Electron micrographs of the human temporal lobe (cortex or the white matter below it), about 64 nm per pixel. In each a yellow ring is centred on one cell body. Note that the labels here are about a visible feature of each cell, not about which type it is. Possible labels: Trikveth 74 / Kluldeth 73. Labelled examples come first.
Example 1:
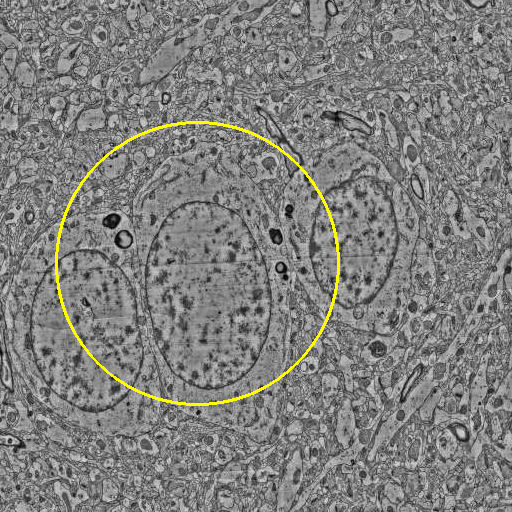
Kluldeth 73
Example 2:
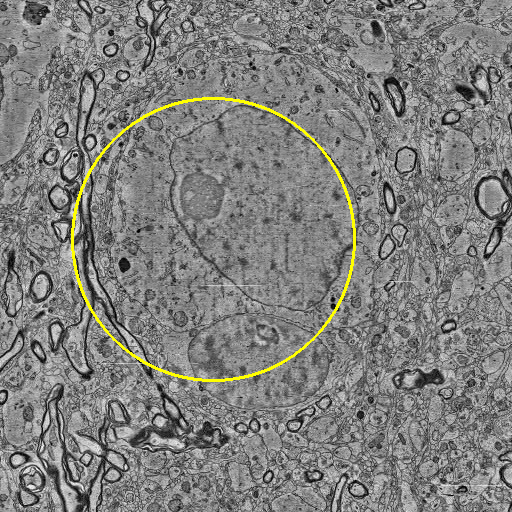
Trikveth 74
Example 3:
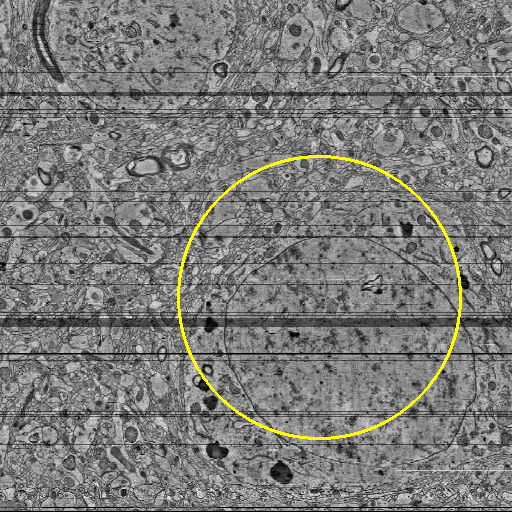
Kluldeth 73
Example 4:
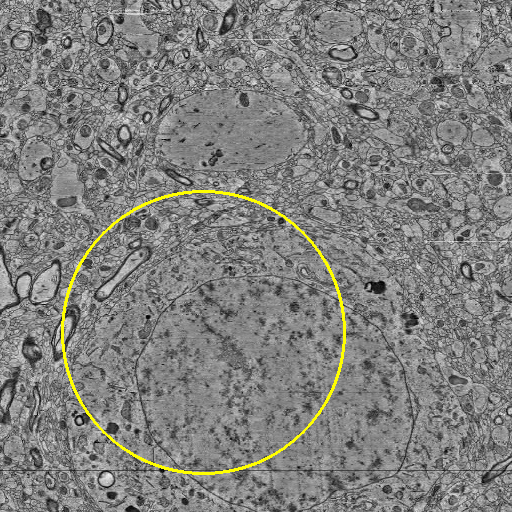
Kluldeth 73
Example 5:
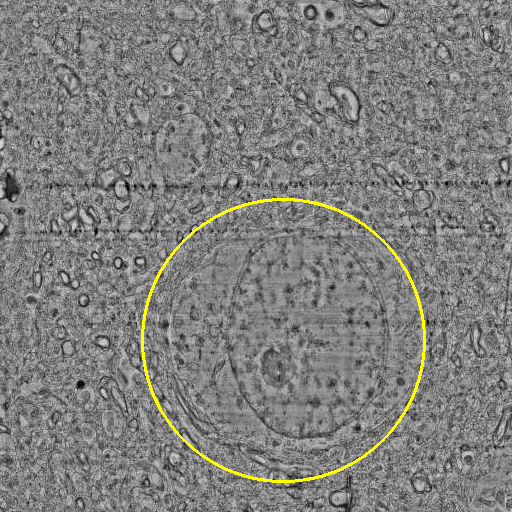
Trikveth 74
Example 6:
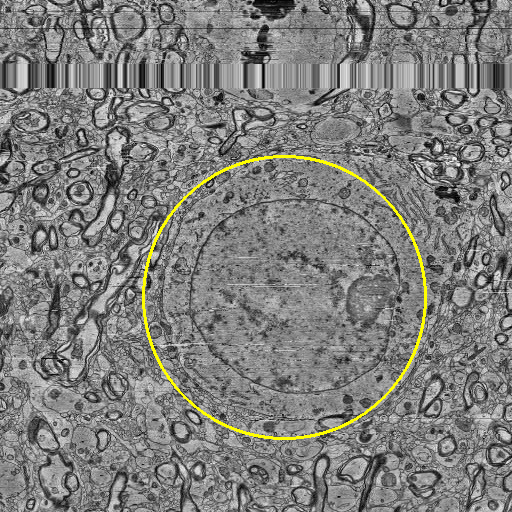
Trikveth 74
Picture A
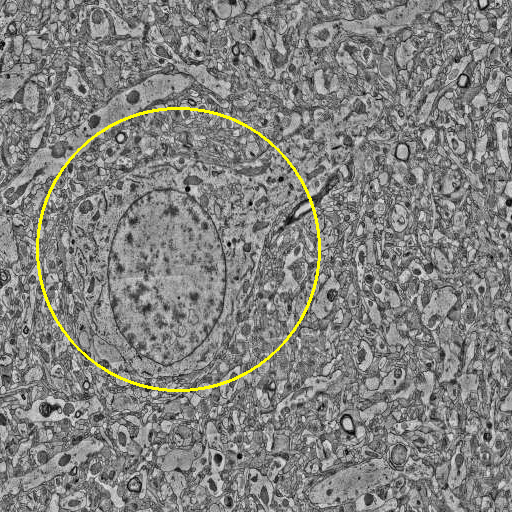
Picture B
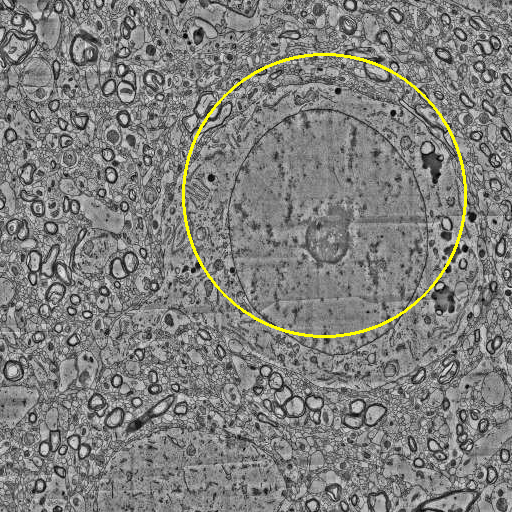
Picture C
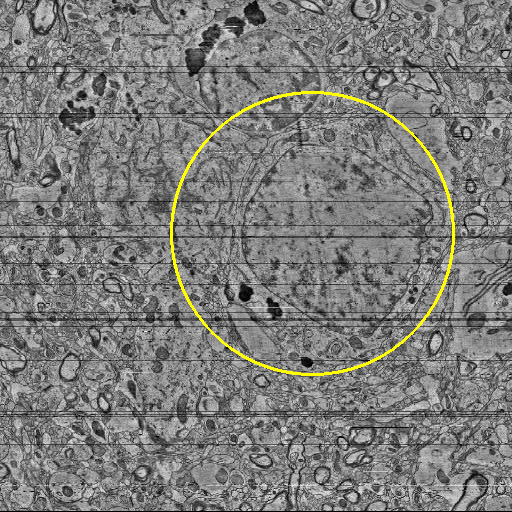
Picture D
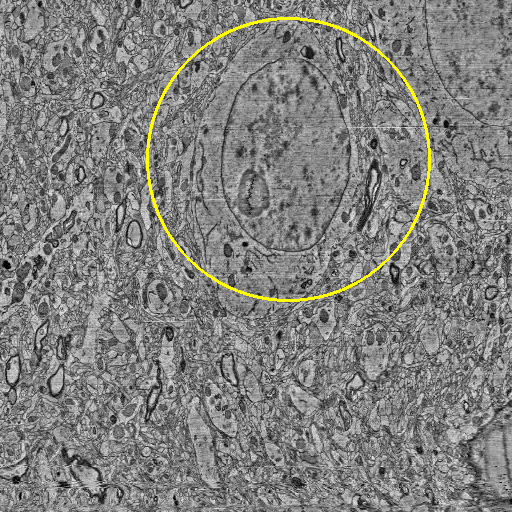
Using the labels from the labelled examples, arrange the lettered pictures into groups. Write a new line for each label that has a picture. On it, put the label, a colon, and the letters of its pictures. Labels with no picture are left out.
Trikveth 74: B, D
Kluldeth 73: A, C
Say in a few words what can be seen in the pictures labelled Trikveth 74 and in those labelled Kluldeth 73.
Trikveth 74, nucleolus seen; Kluldeth 73, no nucleolus seen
